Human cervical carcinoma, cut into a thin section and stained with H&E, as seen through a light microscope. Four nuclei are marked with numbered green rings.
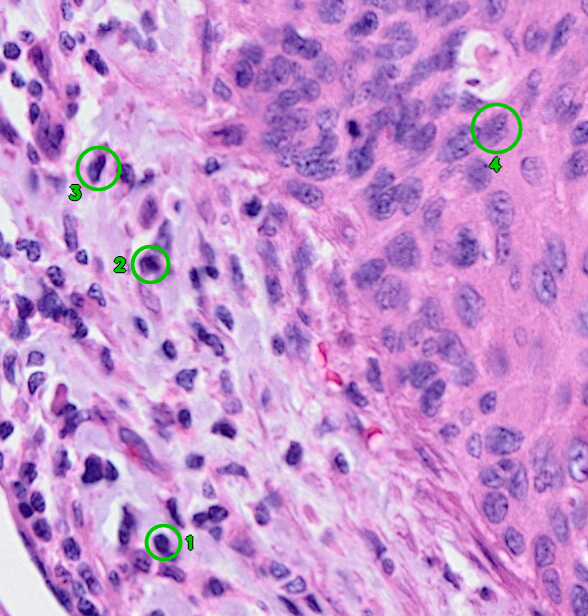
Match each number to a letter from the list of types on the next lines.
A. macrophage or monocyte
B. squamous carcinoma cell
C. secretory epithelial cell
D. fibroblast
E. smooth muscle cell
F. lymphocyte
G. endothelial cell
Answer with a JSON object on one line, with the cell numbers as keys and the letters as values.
{"1": "F", "2": "F", "3": "F", "4": "B"}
